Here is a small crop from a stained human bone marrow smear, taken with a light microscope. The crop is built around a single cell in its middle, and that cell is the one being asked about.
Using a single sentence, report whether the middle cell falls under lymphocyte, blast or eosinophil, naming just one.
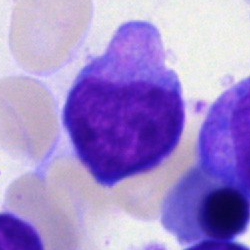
What sits at the centre of this crop is a blast.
